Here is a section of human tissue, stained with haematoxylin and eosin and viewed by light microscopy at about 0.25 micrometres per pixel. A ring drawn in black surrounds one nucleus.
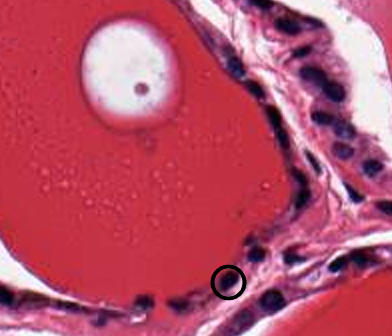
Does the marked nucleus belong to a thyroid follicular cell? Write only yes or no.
yes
